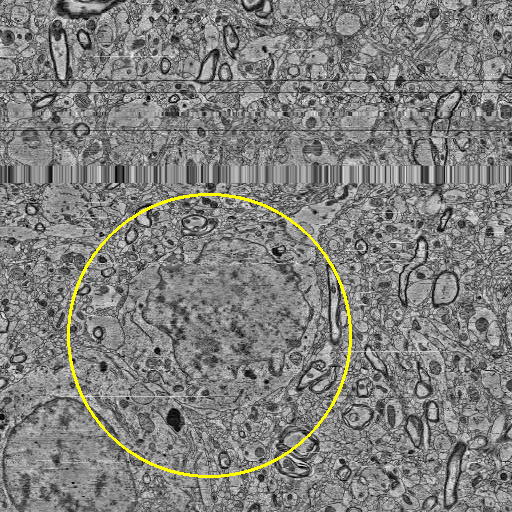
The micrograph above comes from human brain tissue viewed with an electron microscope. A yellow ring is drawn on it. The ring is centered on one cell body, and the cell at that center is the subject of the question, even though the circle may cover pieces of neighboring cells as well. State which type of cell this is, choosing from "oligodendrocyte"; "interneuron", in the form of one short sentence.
The cell the ring is centered on is an interneuron.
